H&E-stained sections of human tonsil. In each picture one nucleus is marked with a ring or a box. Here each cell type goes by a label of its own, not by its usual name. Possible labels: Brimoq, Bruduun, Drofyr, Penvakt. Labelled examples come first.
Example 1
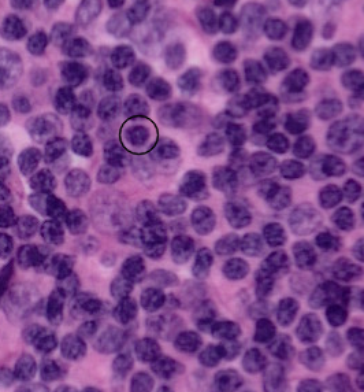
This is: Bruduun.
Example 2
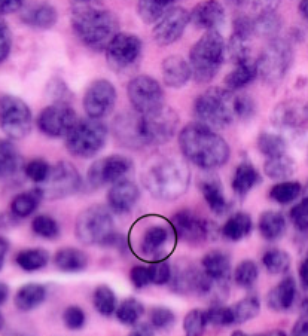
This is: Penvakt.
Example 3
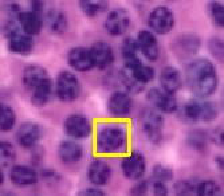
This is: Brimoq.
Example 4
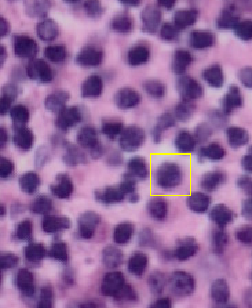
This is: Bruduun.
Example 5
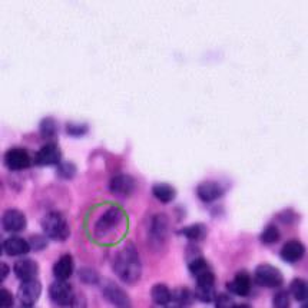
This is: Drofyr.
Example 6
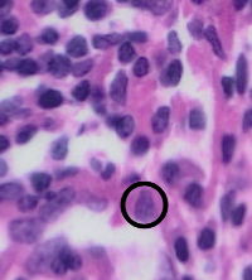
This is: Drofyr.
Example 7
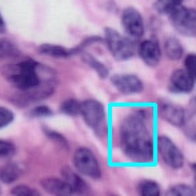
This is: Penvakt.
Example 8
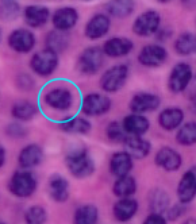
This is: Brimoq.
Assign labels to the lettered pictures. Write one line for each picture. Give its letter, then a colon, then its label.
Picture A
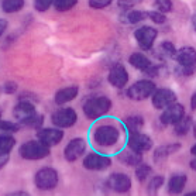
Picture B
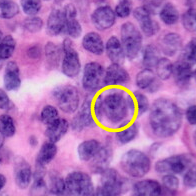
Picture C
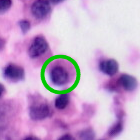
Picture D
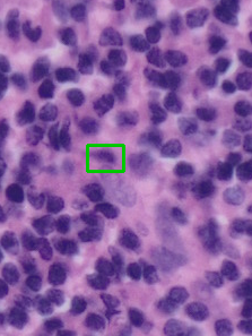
A: Brimoq.
B: Penvakt.
C: Brimoq.
D: Drofyr.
